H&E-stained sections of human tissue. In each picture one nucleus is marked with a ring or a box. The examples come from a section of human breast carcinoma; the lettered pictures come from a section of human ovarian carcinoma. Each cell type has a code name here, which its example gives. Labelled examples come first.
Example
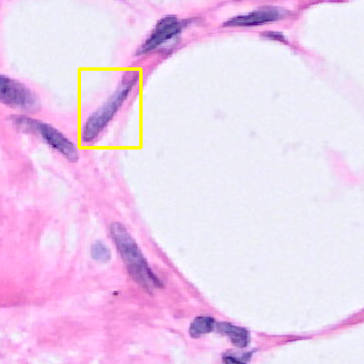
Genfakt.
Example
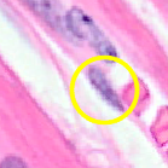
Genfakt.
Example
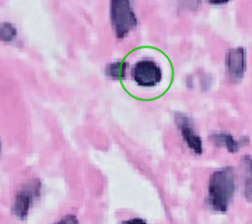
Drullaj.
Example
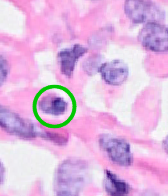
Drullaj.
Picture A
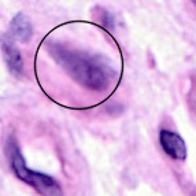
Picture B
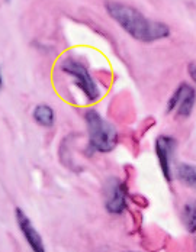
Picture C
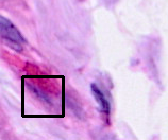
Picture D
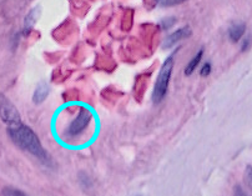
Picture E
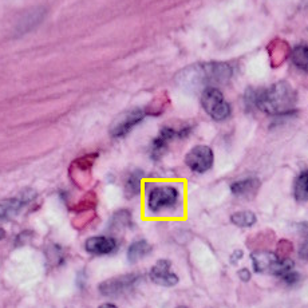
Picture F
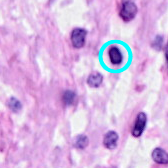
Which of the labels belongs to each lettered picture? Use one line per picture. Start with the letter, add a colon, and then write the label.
A: Genfakt.
B: Genfakt.
C: Genfakt.
D: Genfakt.
E: Drullaj.
F: Drullaj.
